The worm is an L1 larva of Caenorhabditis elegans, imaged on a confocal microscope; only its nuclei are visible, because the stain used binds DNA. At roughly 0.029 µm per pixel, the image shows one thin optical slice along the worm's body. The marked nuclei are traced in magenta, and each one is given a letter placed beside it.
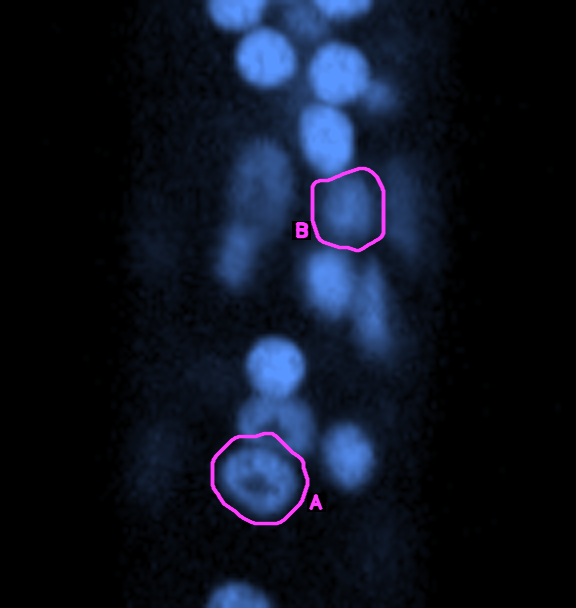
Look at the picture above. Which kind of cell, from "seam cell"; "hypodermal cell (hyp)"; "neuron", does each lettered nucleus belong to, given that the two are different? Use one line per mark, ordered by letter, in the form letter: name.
A: hypodermal cell (hyp)
B: neuron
